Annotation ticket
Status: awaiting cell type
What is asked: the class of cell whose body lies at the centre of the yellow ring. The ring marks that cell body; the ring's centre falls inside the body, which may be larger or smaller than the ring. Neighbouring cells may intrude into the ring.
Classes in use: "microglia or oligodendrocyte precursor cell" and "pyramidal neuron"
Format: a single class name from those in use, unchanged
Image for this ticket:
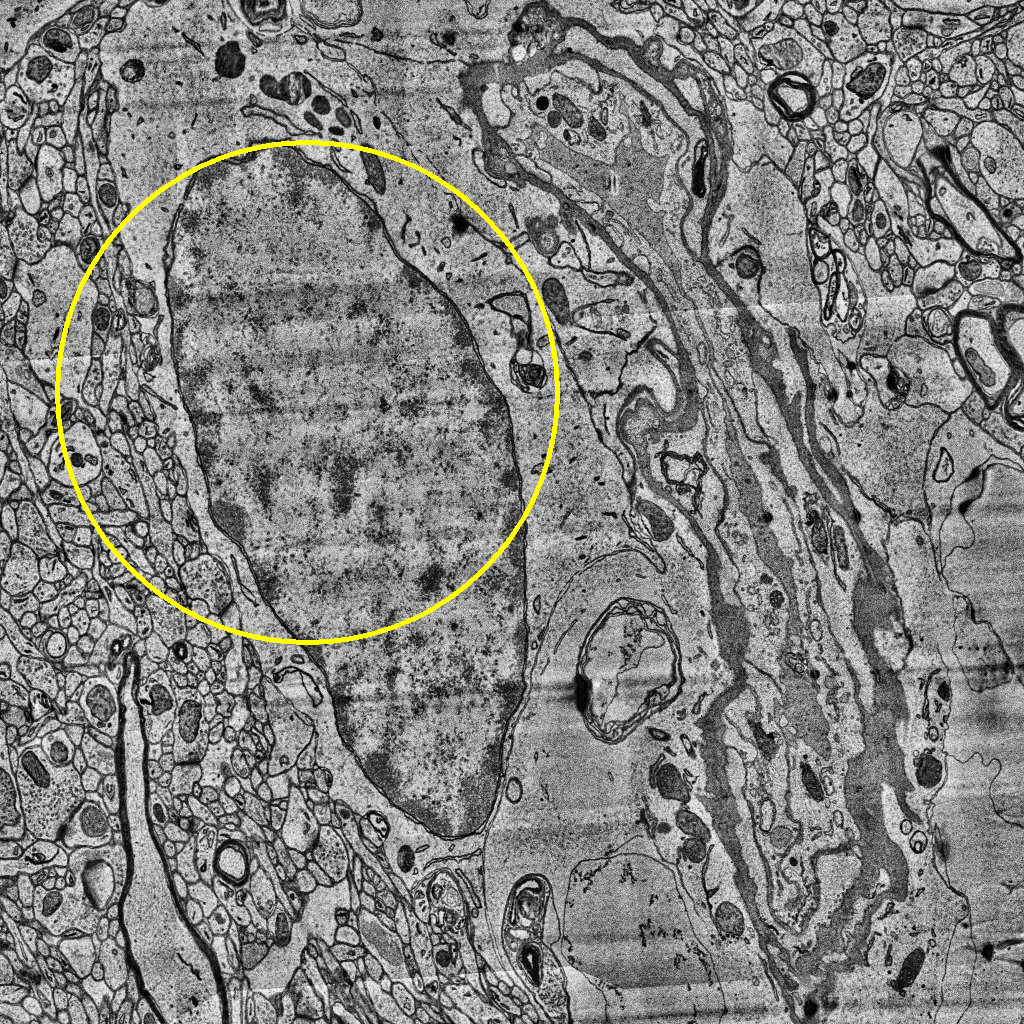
microglia or oligodendrocyte precursor cell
